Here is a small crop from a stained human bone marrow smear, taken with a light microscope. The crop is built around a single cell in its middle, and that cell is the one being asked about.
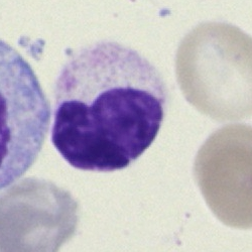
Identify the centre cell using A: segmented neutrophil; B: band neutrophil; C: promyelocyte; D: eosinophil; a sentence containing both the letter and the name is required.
The middle of the crop contains a band neutrophil, so option B is right.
